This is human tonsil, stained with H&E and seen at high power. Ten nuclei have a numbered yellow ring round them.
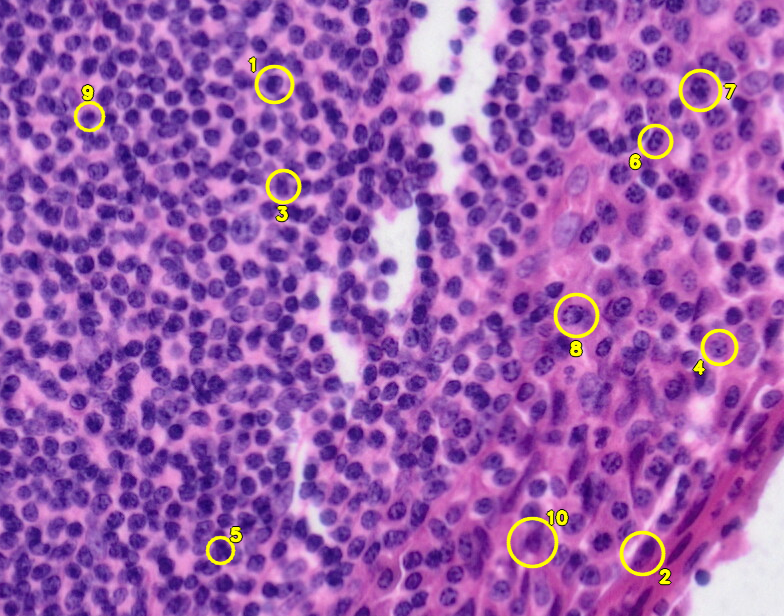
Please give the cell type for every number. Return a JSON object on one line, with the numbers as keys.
{"1": "small lymphocyte", "2": "squamous epithelial cell", "3": "small lymphocyte", "4": "plasma cell", "5": "small lymphocyte", "6": "plasma cell", "7": "plasma cell", "8": "plasma cell", "9": "small lymphocyte", "10": "squamous epithelial cell"}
